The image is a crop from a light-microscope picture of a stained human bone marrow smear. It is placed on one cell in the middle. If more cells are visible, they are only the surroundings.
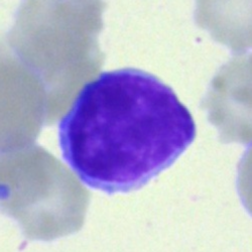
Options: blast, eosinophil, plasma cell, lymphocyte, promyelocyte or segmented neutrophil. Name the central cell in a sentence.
The centered cell in this crop is a lymphocyte.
